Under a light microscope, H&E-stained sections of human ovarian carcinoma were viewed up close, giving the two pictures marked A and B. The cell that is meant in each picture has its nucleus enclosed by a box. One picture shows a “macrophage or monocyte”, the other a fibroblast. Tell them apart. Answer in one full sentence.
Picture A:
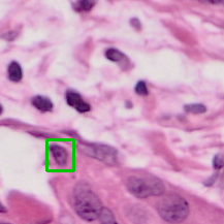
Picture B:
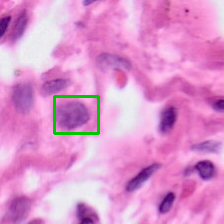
The cell in picture A is a “macrophage or monocyte”, and the one in picture B is a fibroblast.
